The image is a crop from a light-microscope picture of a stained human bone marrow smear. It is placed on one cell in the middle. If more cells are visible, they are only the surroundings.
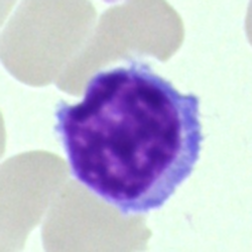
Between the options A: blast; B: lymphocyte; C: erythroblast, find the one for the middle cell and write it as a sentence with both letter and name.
Seen at the centre of the crop is a lymphocyte, so option B is correct.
